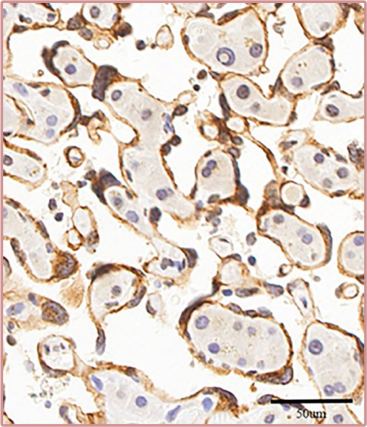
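Liver tissue is shown in which rounded and elongated cords of large polygonal cells with pale tan cytoplasm and round blue nuclei are separated by open sinusoidal spaces. A strong brown stain outlines the edges of nearly every cord, following the cells that line the sinusoids. Some of the brown-stained lining cells are plump, with dark nuclei bulging into the spaces. The cells inside the cords are only faintly tinted and show no strong brown staining. The sinusoids between the cords are widened and largely empty.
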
